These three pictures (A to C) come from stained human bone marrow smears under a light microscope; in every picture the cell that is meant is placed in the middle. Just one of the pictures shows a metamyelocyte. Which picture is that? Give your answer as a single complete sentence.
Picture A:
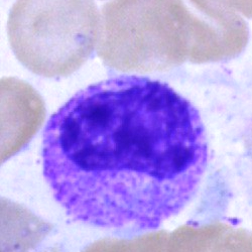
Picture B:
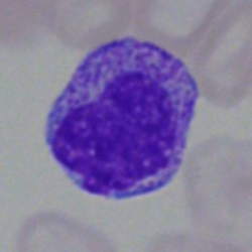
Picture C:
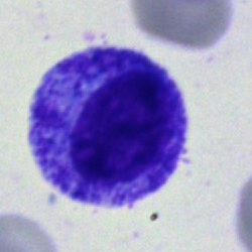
The cell in picture A is the metamyelocyte.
